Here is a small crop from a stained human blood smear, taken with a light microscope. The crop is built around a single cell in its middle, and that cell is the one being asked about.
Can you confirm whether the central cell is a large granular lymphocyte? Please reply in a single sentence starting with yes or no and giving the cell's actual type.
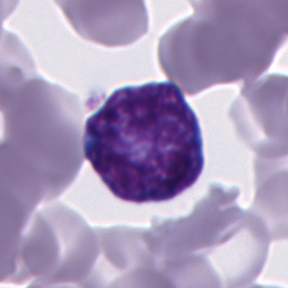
No, instead of a large granular lymphocyte, the middle cell is a typical lymphocyte.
